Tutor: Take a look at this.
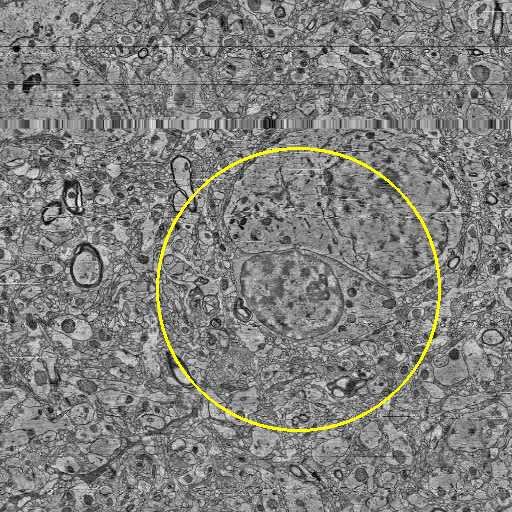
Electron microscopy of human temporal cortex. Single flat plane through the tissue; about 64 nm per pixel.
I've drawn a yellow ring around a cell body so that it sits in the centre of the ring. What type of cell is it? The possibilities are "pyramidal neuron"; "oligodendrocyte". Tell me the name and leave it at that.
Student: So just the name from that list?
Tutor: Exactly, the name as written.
oligodendrocyte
